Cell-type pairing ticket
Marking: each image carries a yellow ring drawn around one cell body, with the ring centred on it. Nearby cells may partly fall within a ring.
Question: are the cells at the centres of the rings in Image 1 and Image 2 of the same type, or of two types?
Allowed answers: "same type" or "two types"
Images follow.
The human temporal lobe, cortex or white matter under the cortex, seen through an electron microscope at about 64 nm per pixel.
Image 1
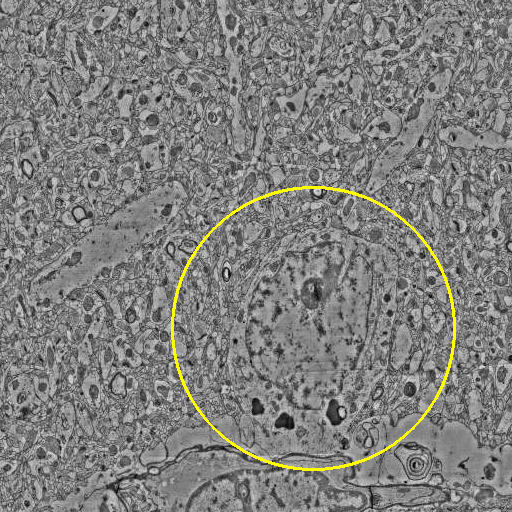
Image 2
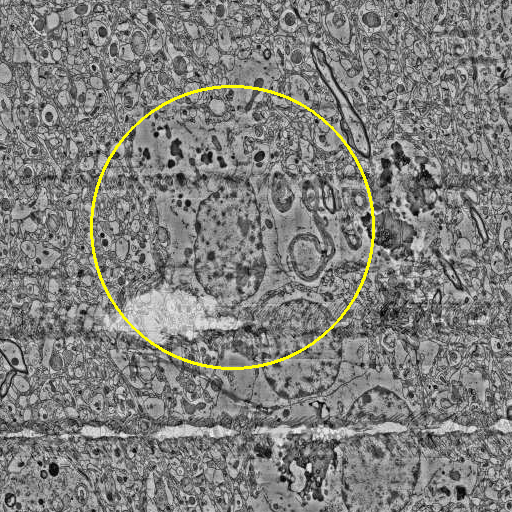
two types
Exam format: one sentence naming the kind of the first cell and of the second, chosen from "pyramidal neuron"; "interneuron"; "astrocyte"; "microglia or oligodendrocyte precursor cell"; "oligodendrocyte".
The first picture's cell is an interneuron, and the second picture's cell is an astrocyte.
